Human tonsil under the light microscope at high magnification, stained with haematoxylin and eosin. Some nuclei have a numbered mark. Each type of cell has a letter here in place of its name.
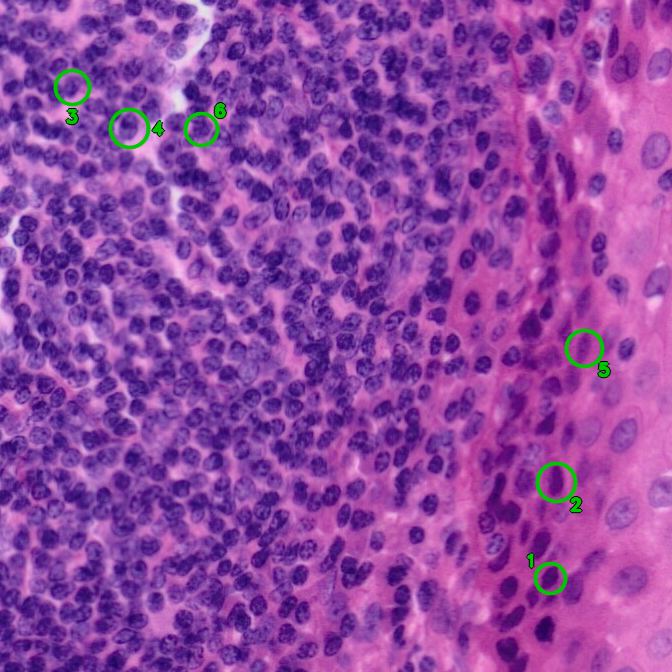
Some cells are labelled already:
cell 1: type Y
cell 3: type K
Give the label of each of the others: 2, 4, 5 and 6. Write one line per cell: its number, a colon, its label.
2: type Y
4: type K
5: type Y
6: type K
